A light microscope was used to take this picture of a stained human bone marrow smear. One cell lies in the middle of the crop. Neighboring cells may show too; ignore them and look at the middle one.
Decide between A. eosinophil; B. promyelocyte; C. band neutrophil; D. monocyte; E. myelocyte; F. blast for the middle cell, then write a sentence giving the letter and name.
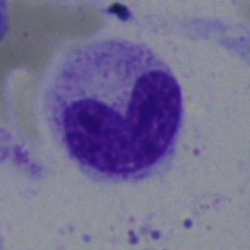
Option C correctly names the cell in the middle as a band neutrophil.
